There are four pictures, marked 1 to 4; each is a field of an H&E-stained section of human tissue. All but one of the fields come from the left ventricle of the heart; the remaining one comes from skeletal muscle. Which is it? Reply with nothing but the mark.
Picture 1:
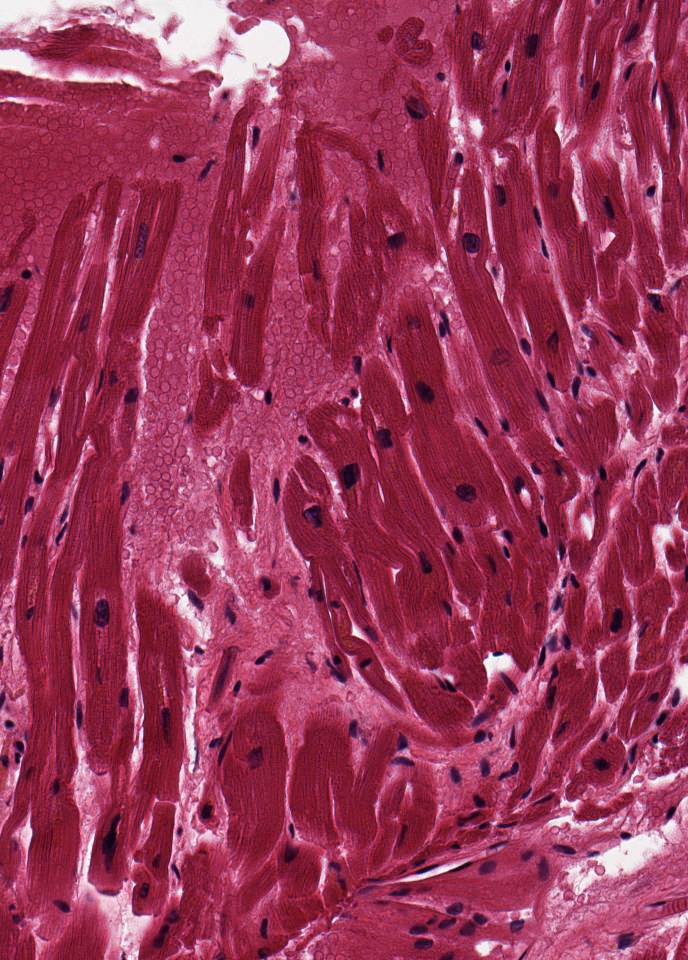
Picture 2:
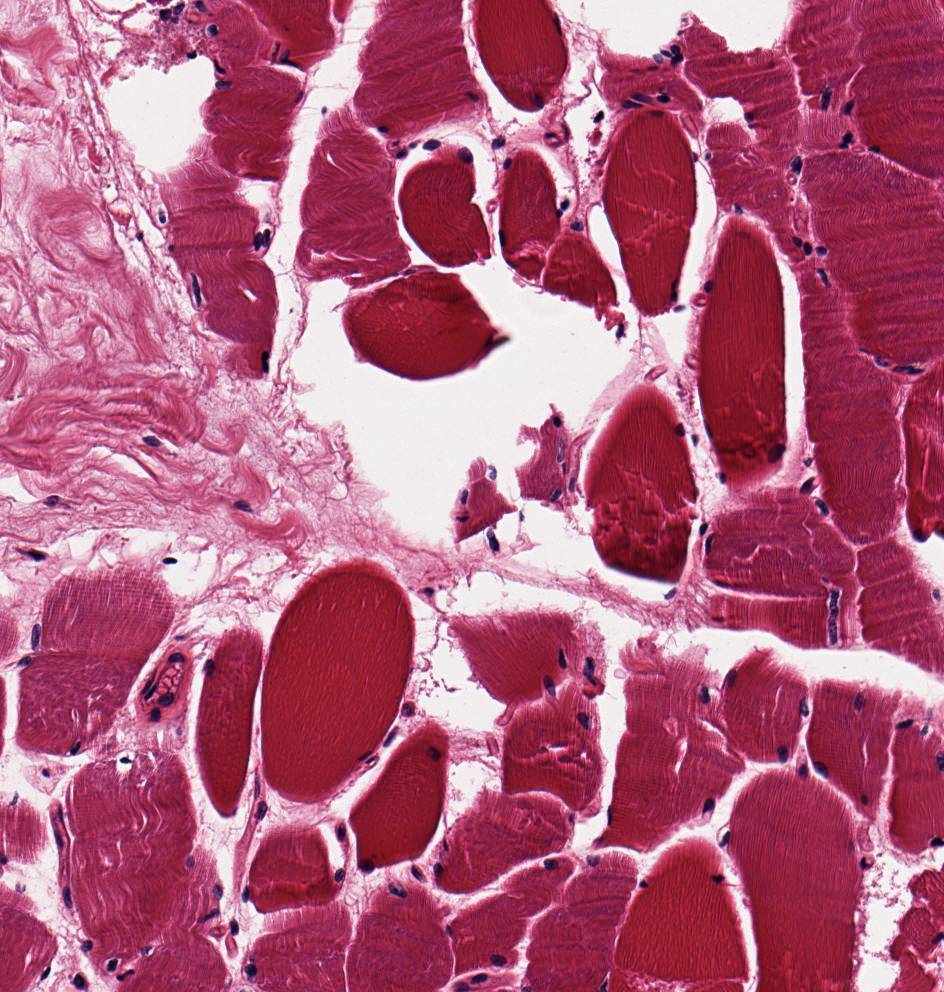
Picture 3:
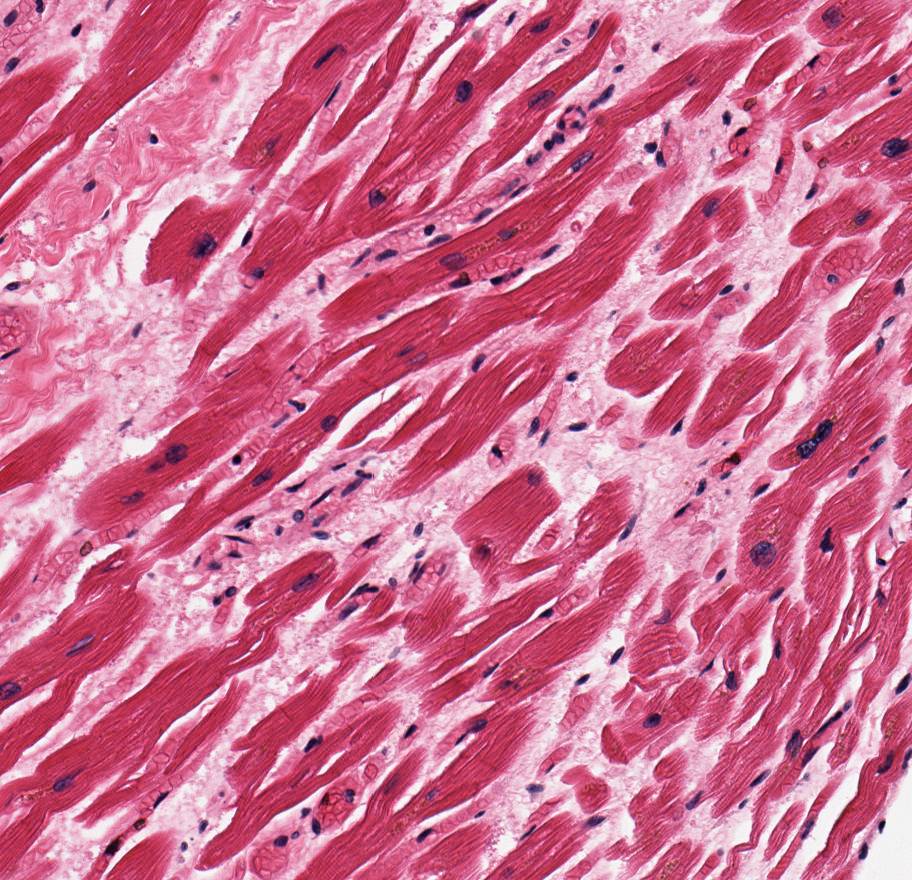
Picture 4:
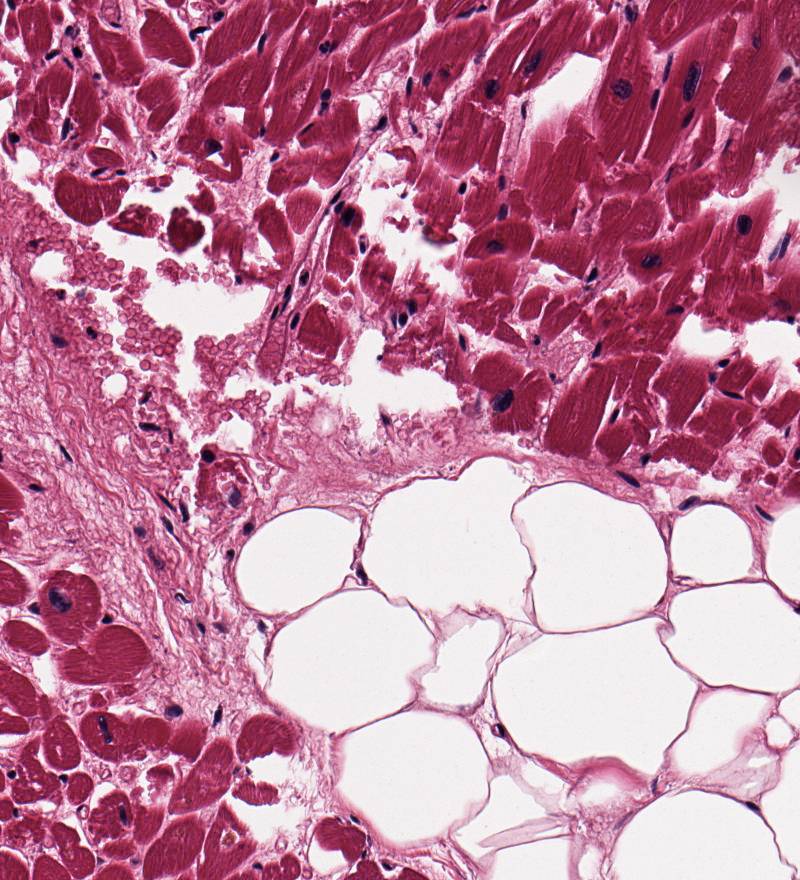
2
